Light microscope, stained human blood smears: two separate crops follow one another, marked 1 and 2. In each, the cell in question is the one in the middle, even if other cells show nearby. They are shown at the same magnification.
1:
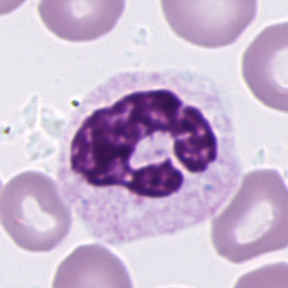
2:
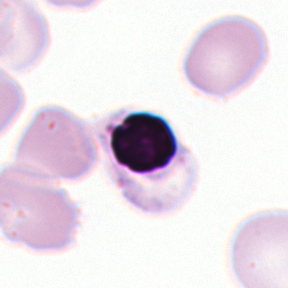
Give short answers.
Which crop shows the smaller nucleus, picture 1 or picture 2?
2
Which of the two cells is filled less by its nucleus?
1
